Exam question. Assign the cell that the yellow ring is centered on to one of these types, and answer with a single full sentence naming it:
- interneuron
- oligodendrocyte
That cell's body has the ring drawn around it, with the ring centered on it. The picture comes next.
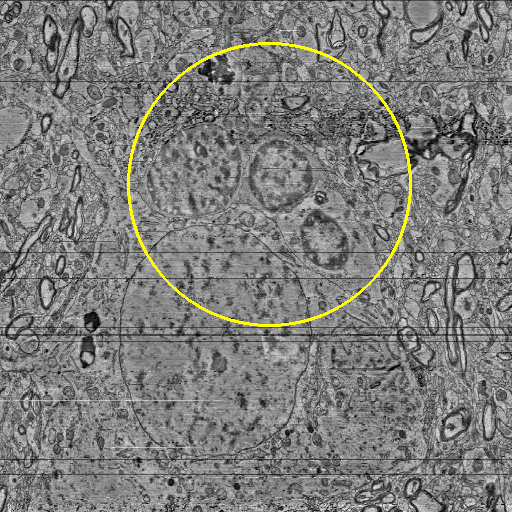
In the micrograph, the cell the yellow ring is centered on is an oligodendrocyte.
